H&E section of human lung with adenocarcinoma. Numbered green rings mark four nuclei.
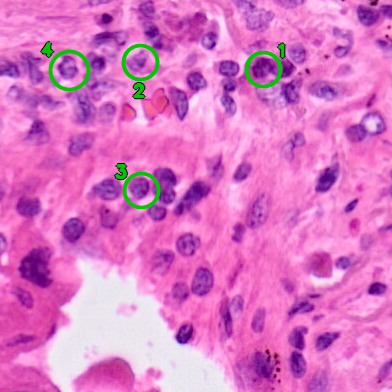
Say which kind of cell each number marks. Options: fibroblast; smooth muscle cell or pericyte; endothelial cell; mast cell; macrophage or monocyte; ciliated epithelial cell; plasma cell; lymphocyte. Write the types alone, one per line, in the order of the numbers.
plasma cell
plasma cell
lymphocyte
lymphocyte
